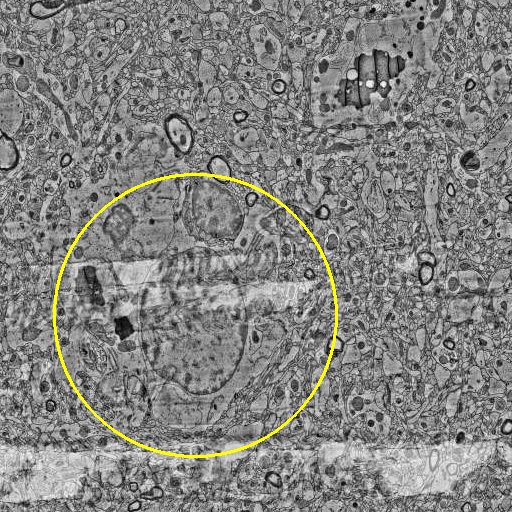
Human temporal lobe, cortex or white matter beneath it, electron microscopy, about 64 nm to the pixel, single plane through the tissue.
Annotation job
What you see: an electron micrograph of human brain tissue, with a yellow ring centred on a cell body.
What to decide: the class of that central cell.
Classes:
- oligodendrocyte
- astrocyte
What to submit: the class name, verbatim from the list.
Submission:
astrocyte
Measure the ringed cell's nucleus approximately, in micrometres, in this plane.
The ringed cell's nucleus measures approximately 9 by 7 micrometres in this plane.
